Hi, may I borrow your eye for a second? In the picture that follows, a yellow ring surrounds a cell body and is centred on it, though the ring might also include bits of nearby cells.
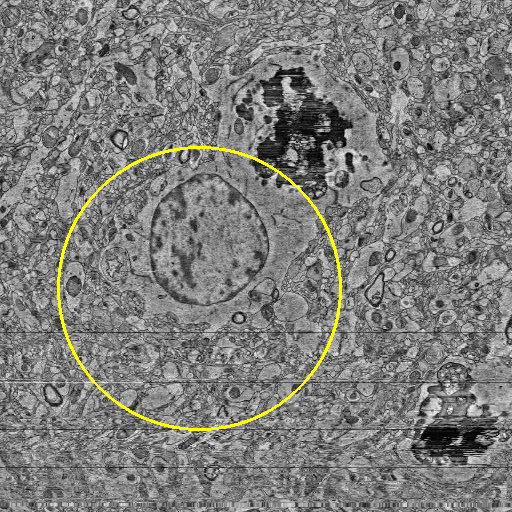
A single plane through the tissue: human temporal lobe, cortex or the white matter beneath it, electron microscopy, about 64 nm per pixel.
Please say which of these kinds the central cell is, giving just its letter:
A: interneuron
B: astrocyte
B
